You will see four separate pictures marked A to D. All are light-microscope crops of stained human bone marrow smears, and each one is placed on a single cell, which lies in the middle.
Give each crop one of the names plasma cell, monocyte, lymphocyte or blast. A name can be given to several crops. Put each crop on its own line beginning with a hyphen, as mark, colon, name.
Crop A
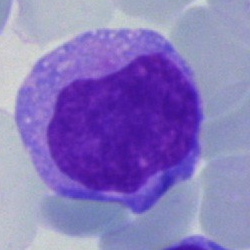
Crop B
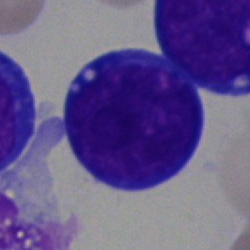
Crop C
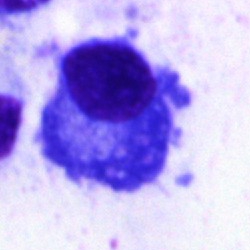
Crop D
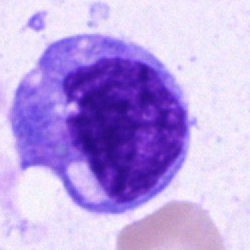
- A: blast
- B: blast
- C: plasma cell
- D: monocyte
